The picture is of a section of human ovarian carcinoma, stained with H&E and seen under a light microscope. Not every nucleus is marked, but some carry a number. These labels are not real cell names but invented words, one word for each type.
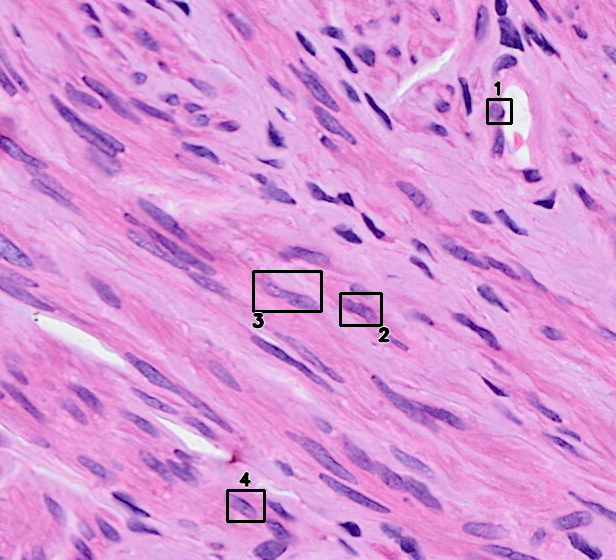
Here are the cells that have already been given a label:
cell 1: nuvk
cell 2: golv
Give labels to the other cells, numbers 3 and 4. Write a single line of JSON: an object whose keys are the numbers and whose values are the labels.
{"3": "golv", "4": "golv"}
